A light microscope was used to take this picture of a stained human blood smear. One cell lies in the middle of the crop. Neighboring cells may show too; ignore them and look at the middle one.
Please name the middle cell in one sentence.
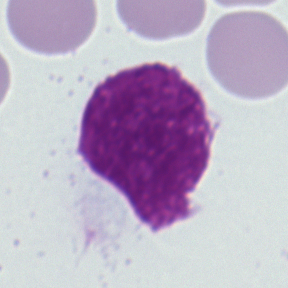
At the center of the crop sits a smudge cell.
